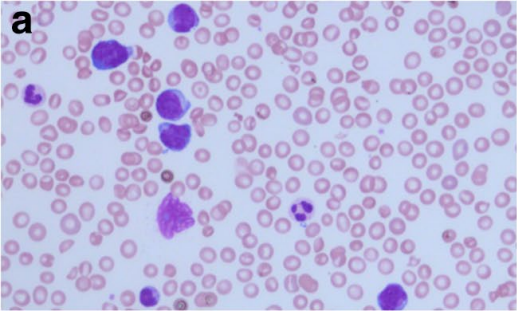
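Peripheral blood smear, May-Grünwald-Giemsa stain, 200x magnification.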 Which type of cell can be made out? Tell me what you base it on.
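Several large purple-staining nucleated cells lie among many red cells. Some of the nucleated cells have irregular outlines. The answer: atypical cells.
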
